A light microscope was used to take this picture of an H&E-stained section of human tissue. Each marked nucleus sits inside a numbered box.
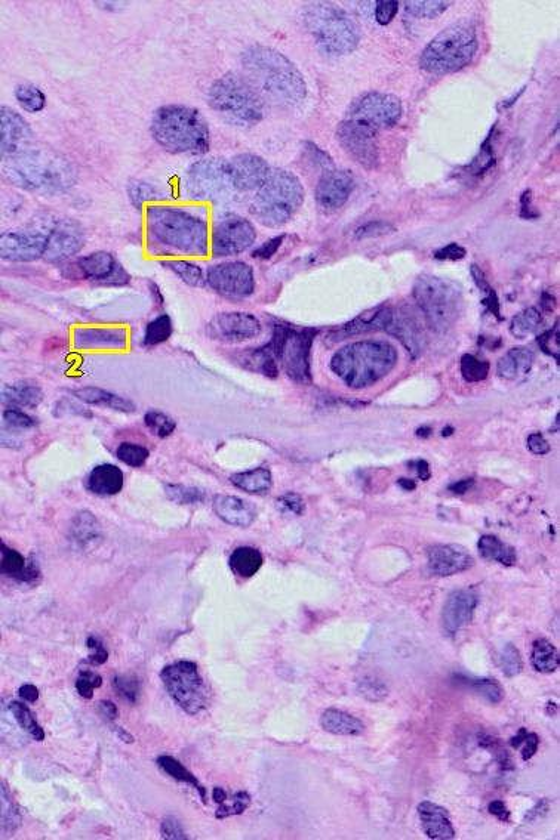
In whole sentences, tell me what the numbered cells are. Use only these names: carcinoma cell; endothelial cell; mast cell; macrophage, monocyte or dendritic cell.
Cell 1 is a carcinoma cell. Cell 2 is an endothelial cell.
